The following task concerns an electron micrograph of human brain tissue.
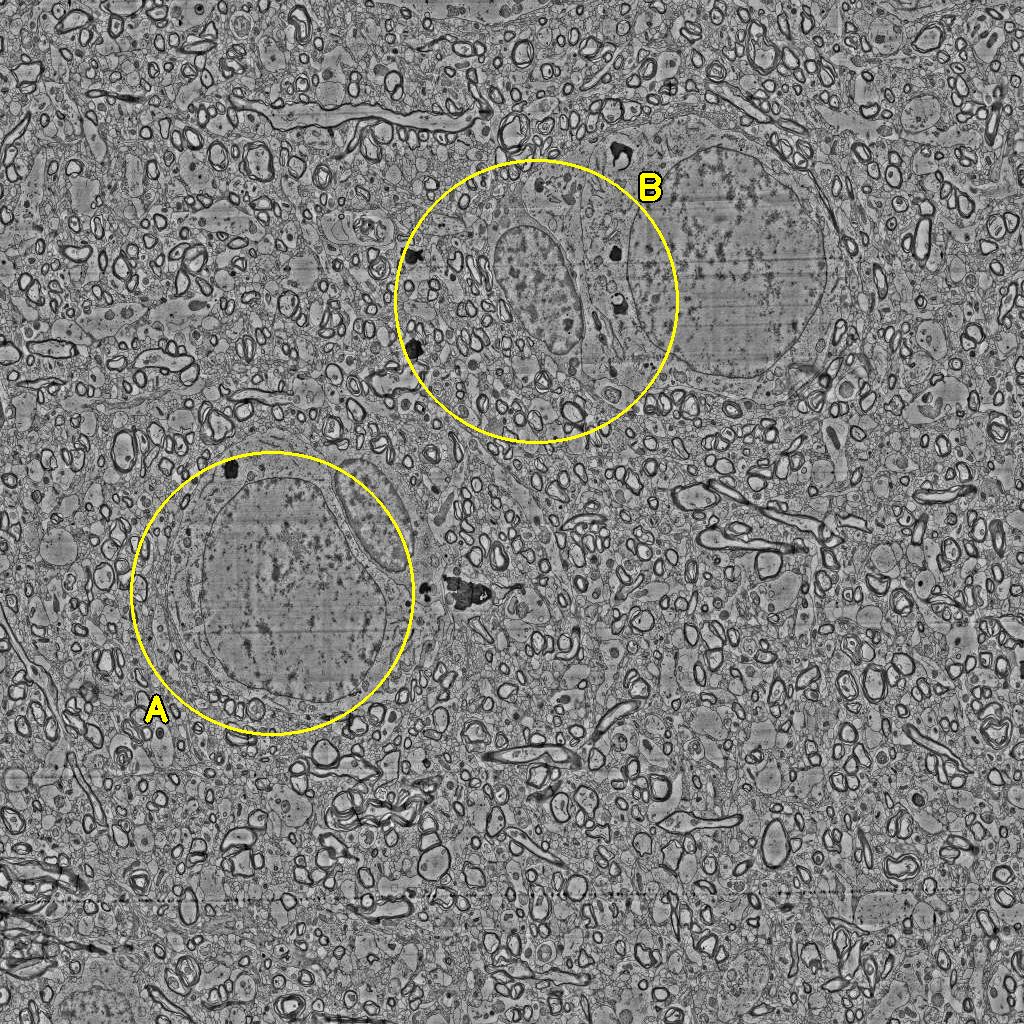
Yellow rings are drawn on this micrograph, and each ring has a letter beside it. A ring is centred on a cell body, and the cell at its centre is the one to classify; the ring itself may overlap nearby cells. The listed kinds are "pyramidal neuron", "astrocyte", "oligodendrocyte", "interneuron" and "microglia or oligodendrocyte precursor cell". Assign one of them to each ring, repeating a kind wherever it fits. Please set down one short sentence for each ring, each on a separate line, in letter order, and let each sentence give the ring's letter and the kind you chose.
The cell ringed as A is a pyramidal neuron.
The cell ringed as B is an oligodendrocyte.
